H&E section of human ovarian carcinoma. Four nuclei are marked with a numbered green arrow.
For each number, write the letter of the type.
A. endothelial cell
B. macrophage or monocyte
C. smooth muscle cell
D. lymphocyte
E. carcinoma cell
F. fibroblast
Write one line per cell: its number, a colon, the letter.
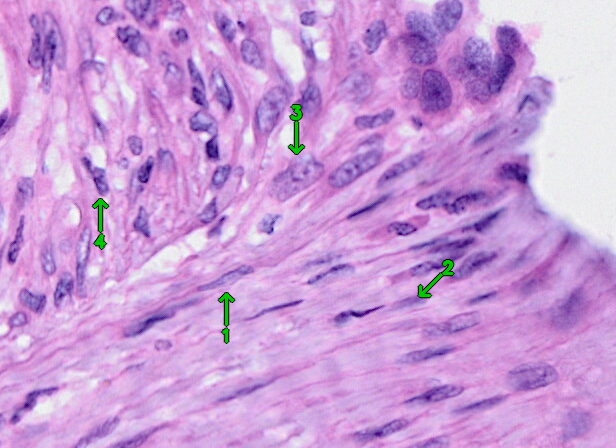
1: F
2: F
3: F
4: B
